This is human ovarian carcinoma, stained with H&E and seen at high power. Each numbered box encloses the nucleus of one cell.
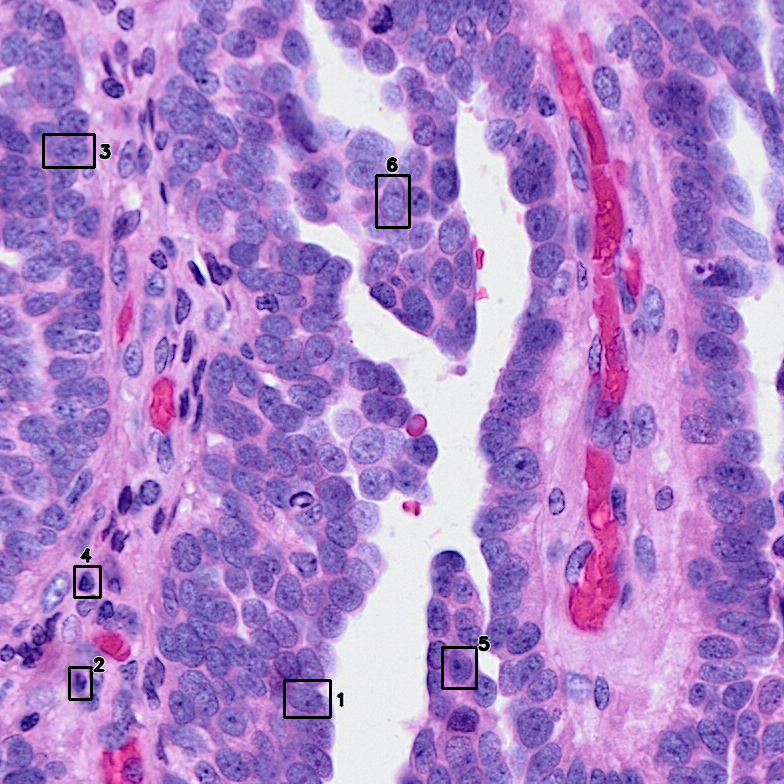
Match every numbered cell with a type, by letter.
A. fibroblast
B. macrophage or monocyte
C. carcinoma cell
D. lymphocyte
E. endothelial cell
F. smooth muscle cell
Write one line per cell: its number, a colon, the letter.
1: C
2: D
3: C
4: D
5: C
6: C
